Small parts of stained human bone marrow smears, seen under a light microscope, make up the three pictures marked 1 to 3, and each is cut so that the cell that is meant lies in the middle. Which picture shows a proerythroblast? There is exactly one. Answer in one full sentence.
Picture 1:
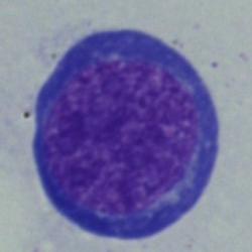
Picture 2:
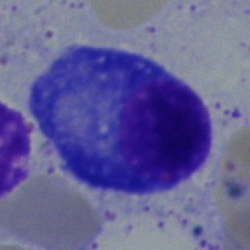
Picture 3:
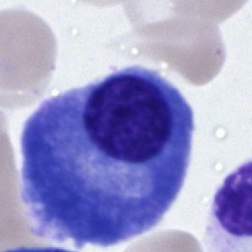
Picture 1 is the one that shows the proerythroblast.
